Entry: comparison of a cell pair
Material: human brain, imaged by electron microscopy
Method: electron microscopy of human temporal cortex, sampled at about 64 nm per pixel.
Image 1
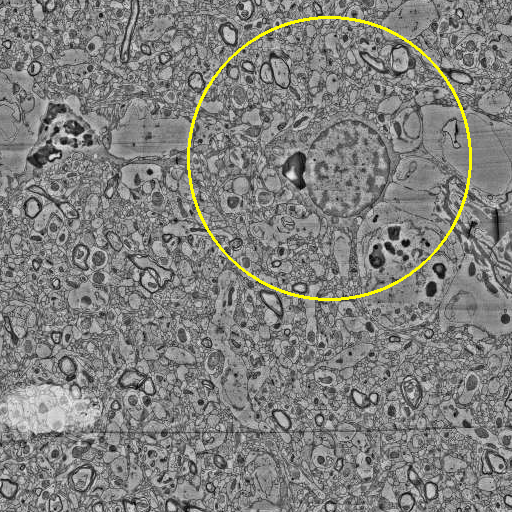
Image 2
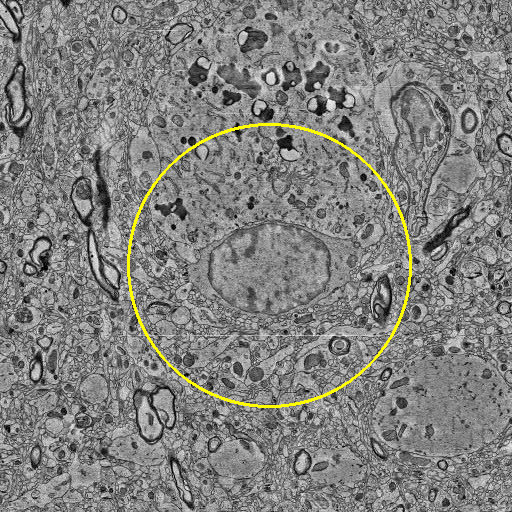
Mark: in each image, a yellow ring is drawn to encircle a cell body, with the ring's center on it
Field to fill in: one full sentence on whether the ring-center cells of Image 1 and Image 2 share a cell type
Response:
Yes, Image 1 and Image 2 each show a ring-center cell of one shared type.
